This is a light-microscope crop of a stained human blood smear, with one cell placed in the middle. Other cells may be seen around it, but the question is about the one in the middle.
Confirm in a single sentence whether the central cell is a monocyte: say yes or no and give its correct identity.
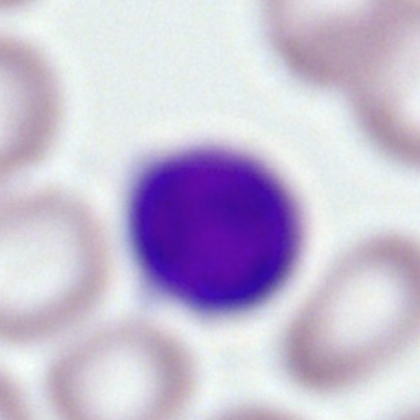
No, the identification should read a lymphocyte, not a monocyte, for the central cell.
